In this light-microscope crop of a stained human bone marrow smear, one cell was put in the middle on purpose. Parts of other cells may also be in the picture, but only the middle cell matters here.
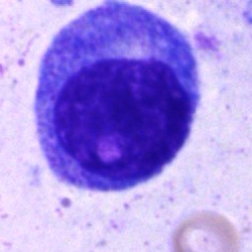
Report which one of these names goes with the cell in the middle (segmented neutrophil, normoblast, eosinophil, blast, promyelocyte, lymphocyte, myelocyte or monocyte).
promyelocyte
